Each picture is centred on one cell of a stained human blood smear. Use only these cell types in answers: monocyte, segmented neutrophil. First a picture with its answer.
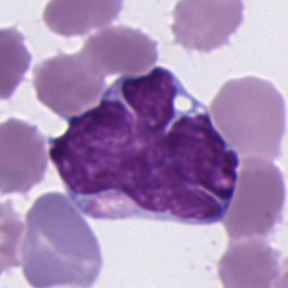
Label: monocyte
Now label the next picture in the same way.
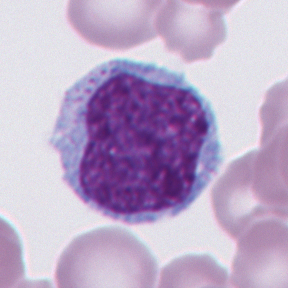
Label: monocyte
